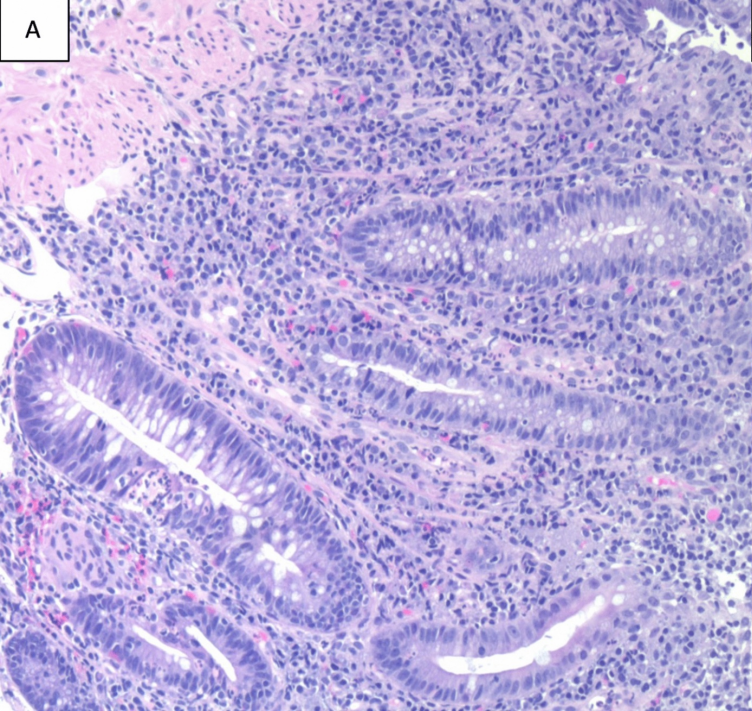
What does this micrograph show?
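Colonic mucosa with elongated crypts lined by columnar epithelium bearing scattered clear goblet vacuoles, with crowded, stratified nuclei. The lamina propria between the crypts is densely filled with small round inflammatory cells, and a few red blood cells lie in the stroma. Pink smooth muscle bundles are seen at the upper left corner.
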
